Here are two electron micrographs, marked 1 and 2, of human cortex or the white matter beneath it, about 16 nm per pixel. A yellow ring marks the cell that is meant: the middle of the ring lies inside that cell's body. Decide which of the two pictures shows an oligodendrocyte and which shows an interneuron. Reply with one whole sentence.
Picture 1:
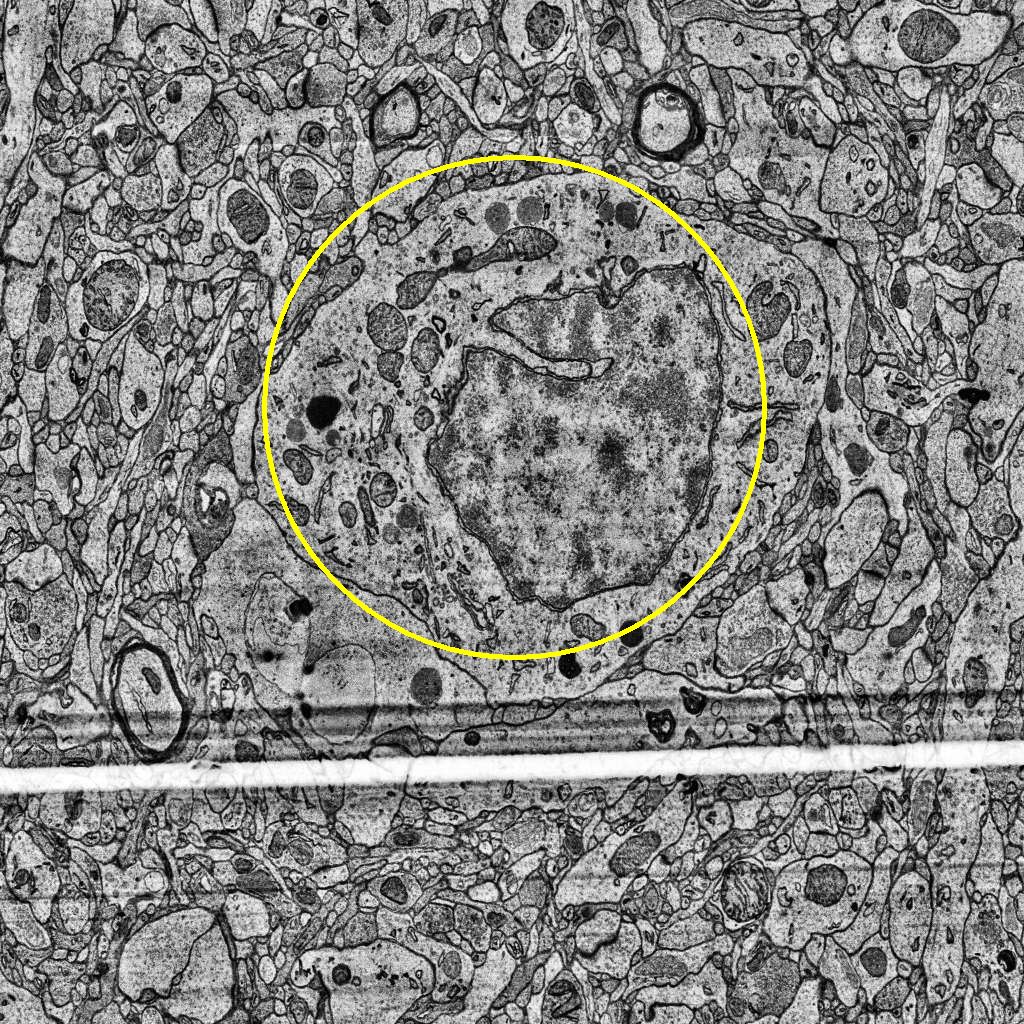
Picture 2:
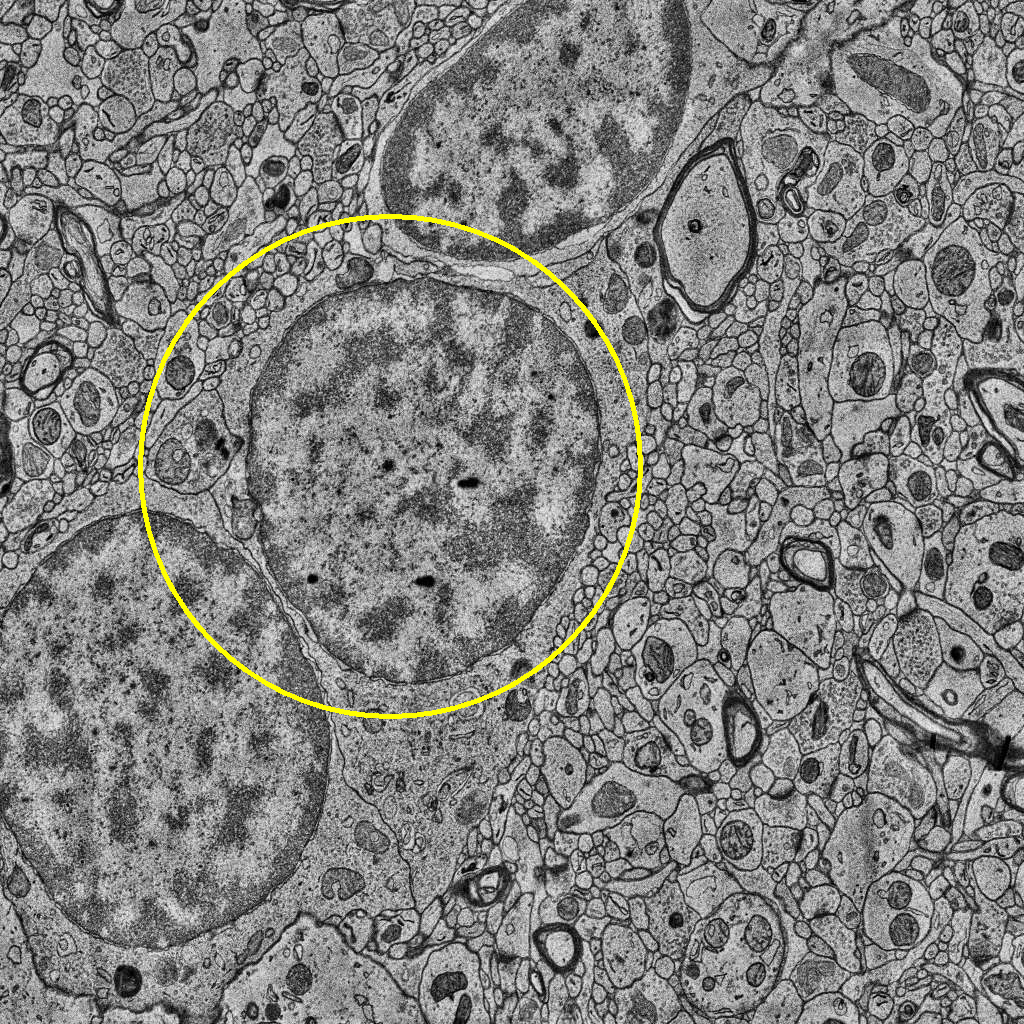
Picture 2 shows an oligodendrocyte, while picture 1 shows an interneuron.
